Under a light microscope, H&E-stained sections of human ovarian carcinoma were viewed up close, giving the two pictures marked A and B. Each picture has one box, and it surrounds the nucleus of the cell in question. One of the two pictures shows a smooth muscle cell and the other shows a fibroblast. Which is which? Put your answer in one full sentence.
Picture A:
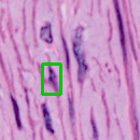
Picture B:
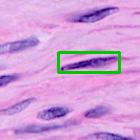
It is picture A that shows a fibroblast, and picture B that shows a smooth muscle cell.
